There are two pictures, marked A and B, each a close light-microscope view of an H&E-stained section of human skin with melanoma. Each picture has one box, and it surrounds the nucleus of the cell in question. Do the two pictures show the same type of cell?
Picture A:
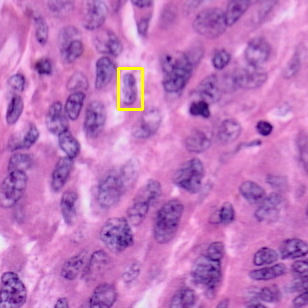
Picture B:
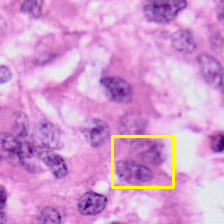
no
